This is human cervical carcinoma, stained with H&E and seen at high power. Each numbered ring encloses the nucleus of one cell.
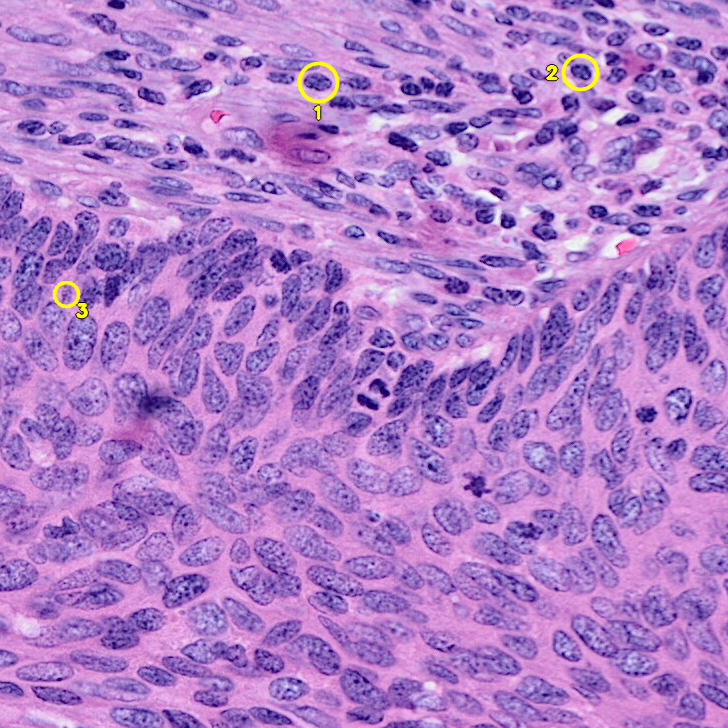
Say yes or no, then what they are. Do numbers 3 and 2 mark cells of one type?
No, cell 3 is typed as a squamous carcinoma cell, and cell 2 is typed as a lymphocyte.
